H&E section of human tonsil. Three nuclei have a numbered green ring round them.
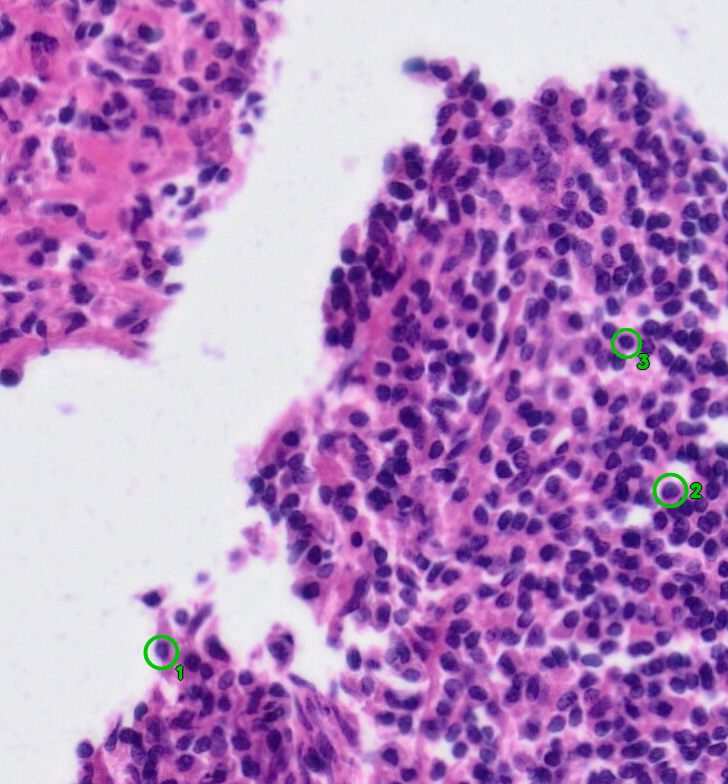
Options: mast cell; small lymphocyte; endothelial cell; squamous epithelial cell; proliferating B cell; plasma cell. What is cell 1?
plasma cell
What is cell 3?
small lymphocyte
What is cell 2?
small lymphocyte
